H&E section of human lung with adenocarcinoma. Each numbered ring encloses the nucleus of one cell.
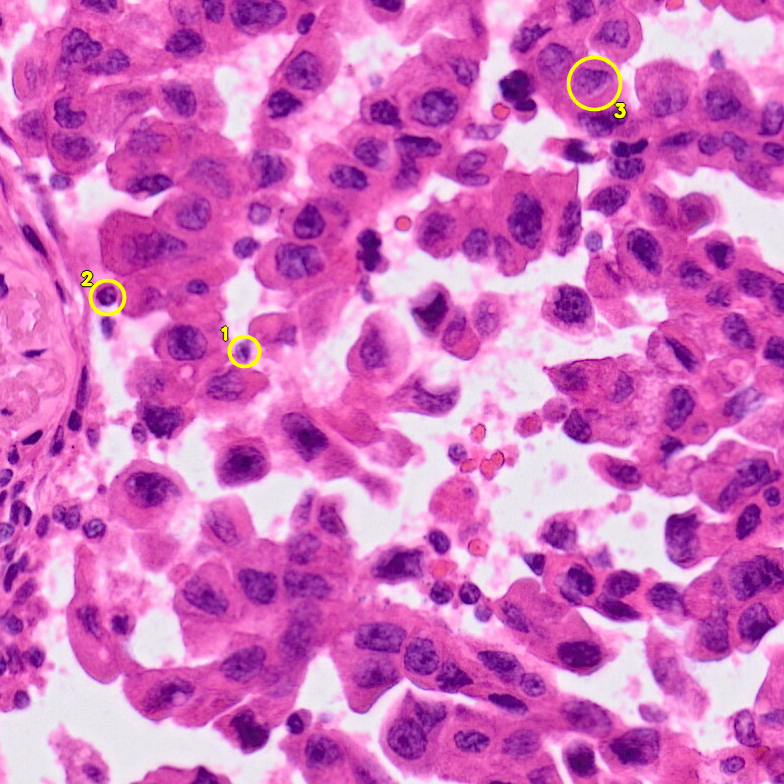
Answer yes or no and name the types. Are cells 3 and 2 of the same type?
No, cell 3 is a carcinoma cell and cell 2 is a lymphocyte.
